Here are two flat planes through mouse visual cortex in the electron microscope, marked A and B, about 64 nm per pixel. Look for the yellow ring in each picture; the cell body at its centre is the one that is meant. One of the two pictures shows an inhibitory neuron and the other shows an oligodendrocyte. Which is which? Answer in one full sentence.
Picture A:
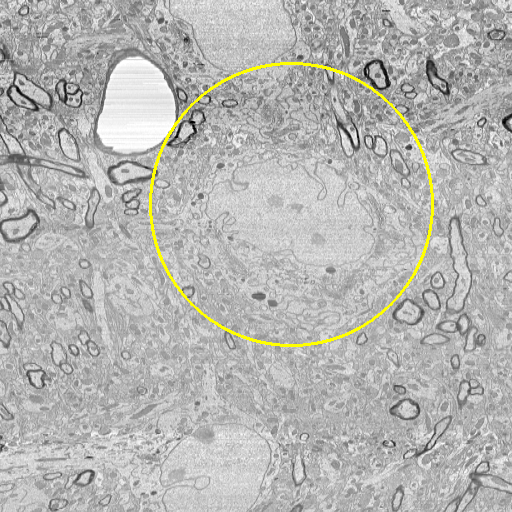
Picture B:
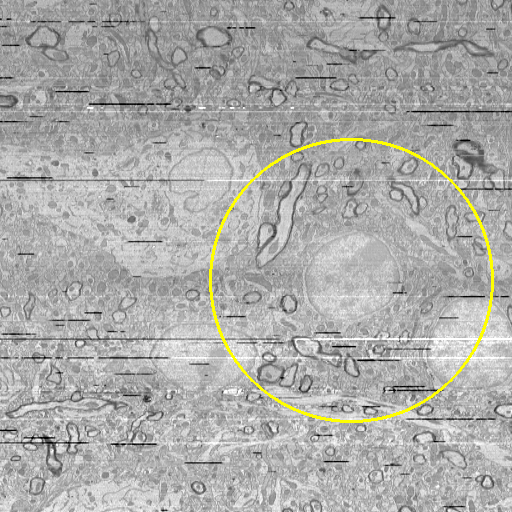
Picture A is of an inhibitory neuron, and picture B is of an oligodendrocyte.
